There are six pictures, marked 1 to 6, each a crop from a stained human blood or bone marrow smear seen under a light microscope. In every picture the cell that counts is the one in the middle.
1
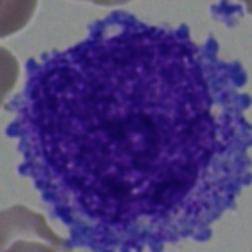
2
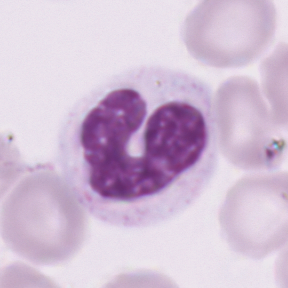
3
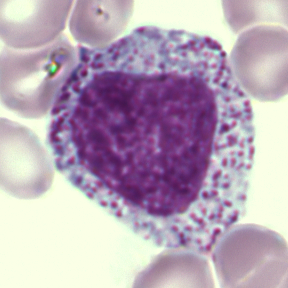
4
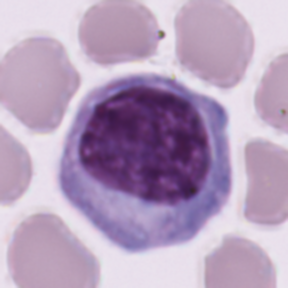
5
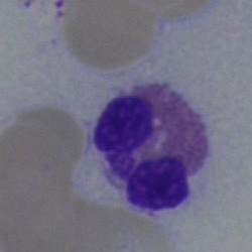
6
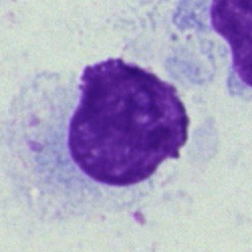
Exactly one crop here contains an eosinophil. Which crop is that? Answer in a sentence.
Crop 5 is the crop containing an eosinophil.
